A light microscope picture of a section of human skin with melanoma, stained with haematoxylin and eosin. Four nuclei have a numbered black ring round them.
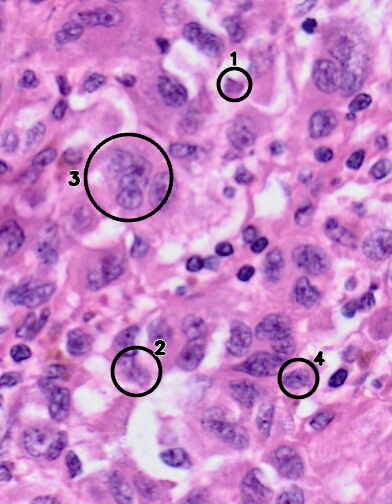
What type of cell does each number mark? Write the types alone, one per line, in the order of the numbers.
melanoma cell
melanoma cell
melanoma cell
macrophage or monocyte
